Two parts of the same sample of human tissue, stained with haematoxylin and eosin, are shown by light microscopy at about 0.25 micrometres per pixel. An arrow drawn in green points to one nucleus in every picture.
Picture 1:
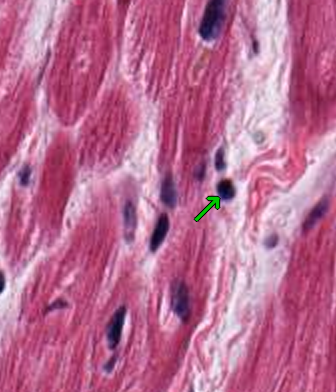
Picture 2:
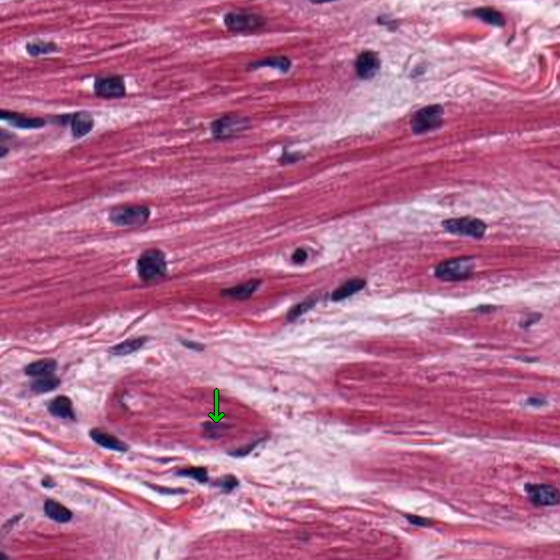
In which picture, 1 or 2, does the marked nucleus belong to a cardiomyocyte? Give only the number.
2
